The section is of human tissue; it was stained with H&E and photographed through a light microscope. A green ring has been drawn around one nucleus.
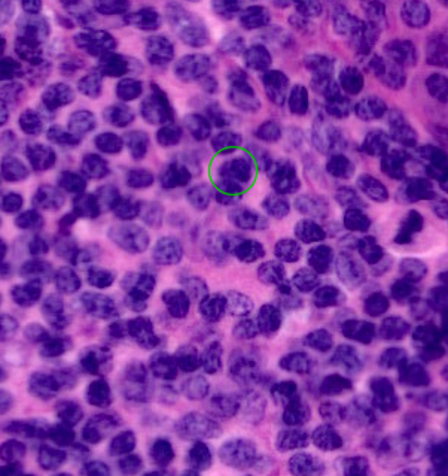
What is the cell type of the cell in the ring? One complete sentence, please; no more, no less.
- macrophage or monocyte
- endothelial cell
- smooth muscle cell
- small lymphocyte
The correct response here is that the cell in the ring is a small lymphocyte.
